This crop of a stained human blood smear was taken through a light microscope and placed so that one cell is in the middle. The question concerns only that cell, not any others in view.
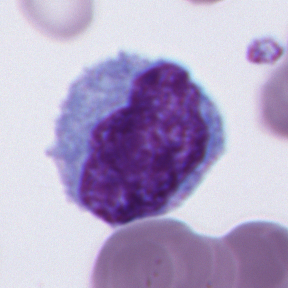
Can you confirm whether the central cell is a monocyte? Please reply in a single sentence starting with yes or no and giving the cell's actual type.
Yes, the cell at the crop's center is a monocyte.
